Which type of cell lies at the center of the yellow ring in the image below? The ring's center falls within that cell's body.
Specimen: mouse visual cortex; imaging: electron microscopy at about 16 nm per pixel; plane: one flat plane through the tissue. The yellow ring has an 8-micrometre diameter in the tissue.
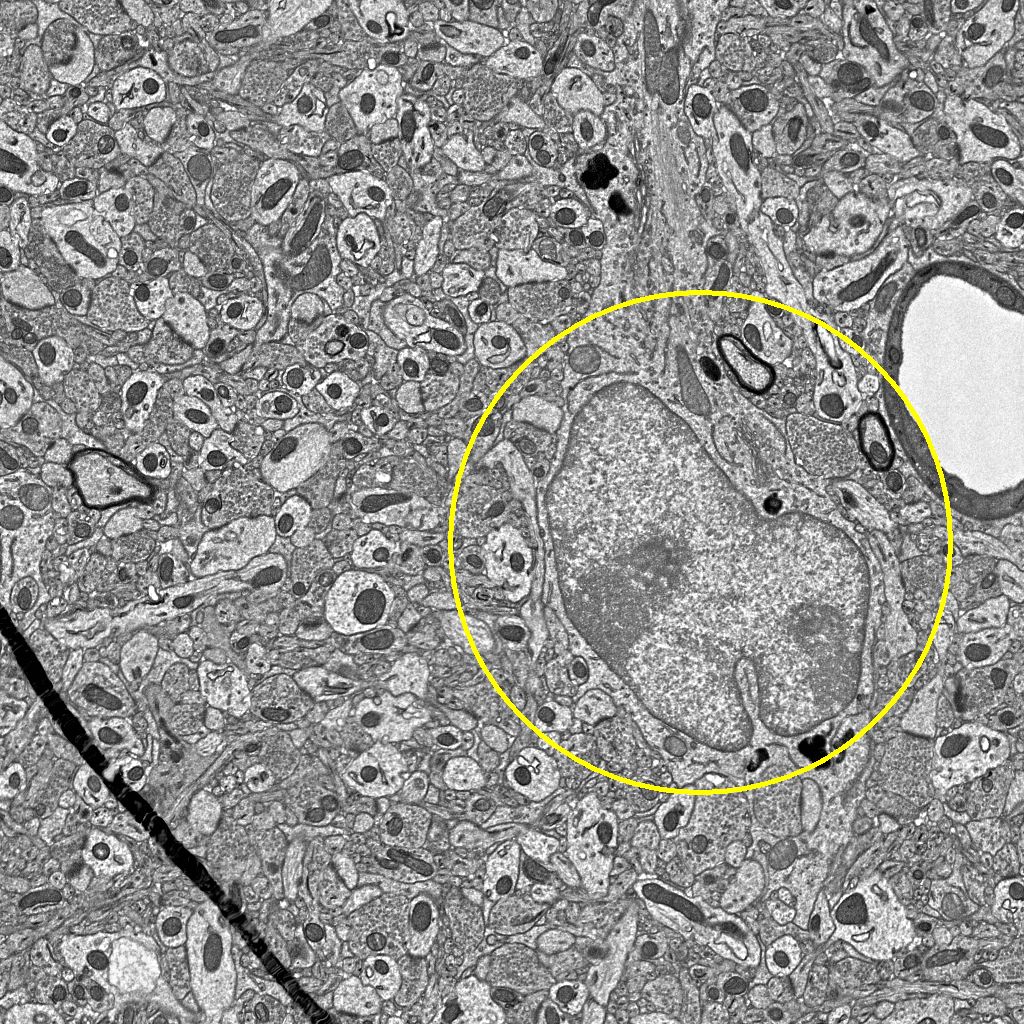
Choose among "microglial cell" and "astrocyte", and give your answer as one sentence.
The cell body at the center belongs to an astrocyte.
